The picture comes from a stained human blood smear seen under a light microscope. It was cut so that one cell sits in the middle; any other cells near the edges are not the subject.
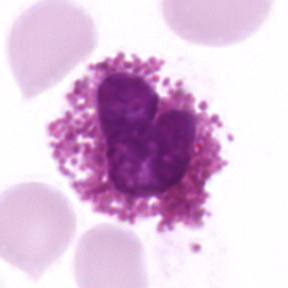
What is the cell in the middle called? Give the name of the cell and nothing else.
eosinophil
